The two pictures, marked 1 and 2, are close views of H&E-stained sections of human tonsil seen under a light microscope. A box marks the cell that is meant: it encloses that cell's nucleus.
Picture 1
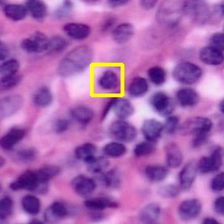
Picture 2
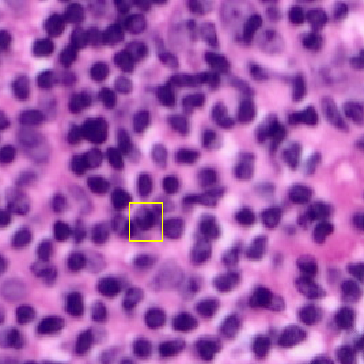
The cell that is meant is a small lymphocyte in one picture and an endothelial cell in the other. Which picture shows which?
1: endothelial cell
2: small lymphocyte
